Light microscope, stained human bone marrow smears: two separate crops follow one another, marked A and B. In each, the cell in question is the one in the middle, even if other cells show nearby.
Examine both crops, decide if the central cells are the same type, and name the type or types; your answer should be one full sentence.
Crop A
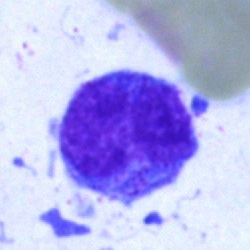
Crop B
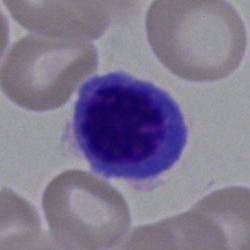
No, the cell that crop A shows is a blast, and the one crop B shows is an erythroblast.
